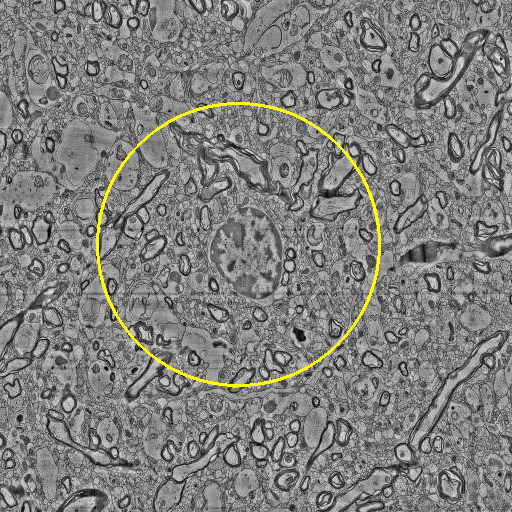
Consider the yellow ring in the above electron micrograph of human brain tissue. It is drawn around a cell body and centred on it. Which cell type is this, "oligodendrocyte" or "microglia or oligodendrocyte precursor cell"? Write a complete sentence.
The cell in question is a microglial cell or oligodendrocyte precursor cell.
